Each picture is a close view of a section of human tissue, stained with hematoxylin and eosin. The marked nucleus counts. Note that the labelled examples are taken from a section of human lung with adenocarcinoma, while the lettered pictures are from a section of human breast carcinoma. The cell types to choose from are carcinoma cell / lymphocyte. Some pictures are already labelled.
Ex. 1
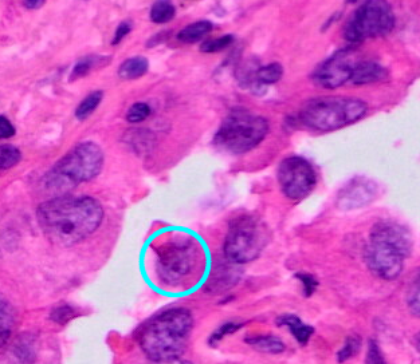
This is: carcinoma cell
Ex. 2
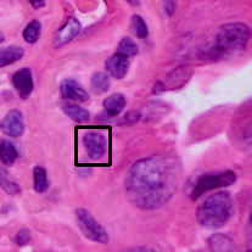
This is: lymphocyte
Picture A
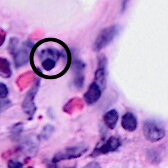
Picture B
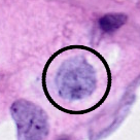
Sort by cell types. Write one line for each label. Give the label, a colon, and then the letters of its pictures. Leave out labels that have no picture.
carcinoma cell: B
lymphocyte: A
